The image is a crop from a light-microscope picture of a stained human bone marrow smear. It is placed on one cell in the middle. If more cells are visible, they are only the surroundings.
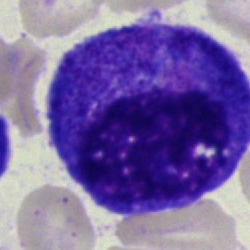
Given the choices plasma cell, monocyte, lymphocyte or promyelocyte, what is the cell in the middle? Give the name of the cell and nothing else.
promyelocyte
